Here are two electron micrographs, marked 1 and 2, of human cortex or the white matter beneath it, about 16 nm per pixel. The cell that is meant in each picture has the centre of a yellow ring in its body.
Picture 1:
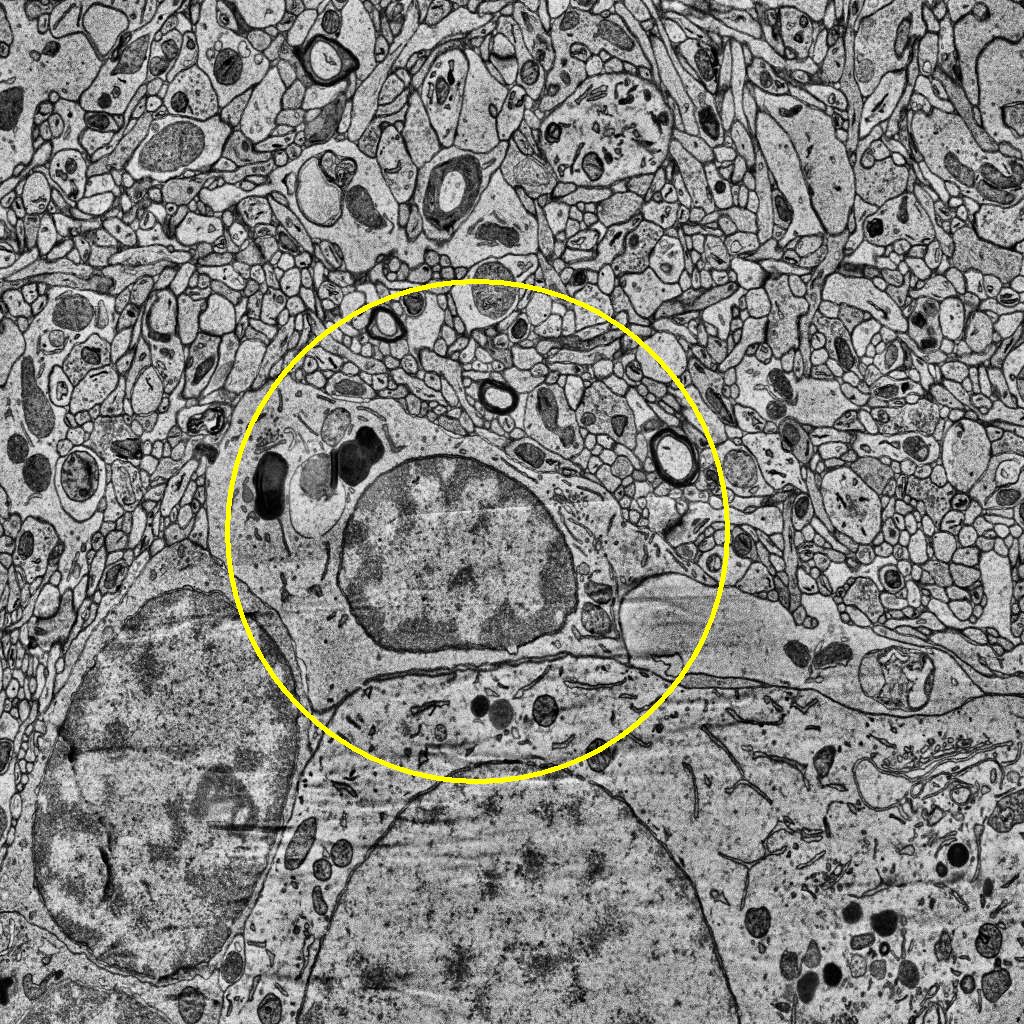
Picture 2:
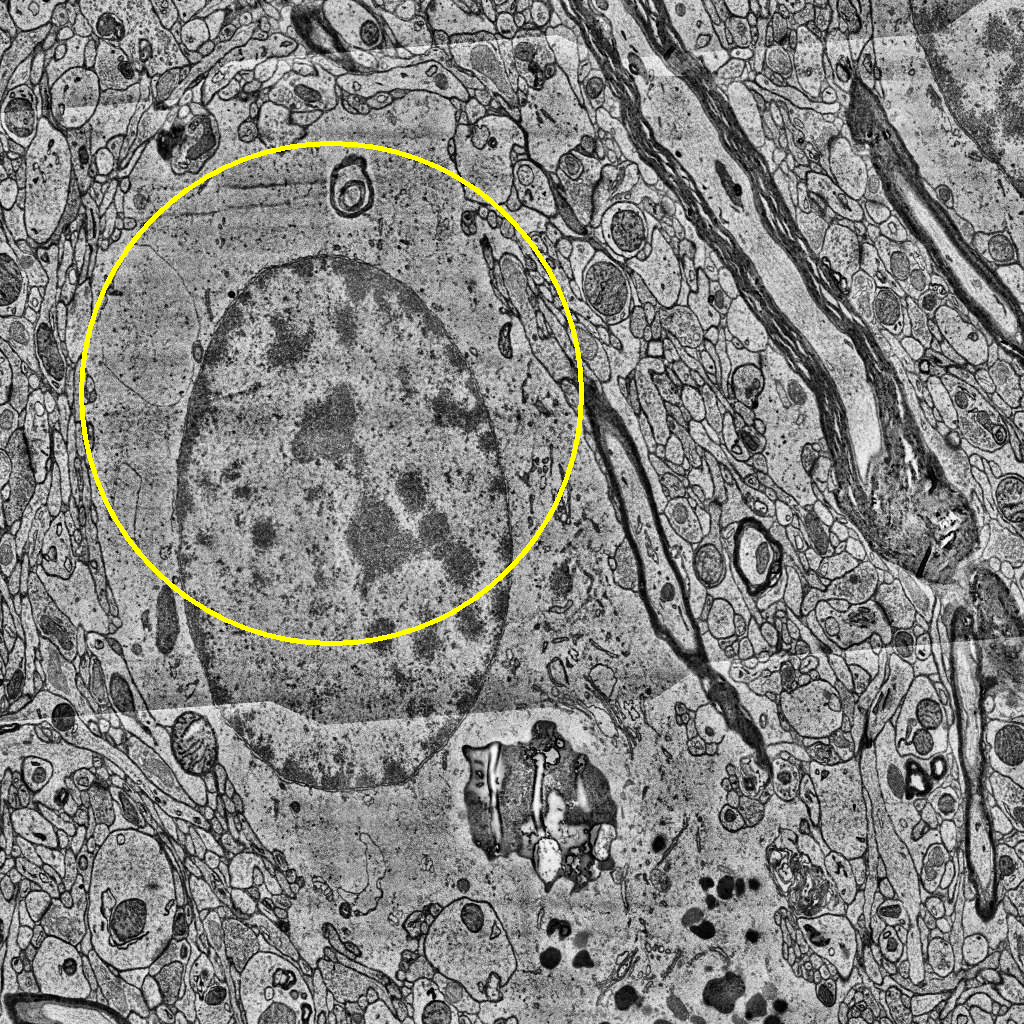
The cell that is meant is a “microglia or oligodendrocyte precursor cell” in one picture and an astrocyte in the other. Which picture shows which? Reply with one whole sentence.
The cell in picture 1 is a “microglia or oligodendrocyte precursor cell”, and the one in picture 2 is an astrocyte.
